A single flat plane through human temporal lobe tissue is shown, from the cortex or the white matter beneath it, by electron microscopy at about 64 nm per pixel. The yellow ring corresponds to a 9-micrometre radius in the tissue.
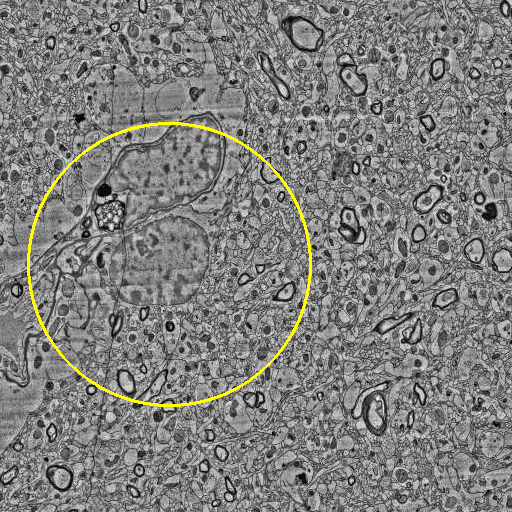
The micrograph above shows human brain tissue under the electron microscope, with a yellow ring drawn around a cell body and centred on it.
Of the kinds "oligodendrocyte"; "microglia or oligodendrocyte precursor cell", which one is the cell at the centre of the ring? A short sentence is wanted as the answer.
The one at the centre of the ring is an oligodendrocyte.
